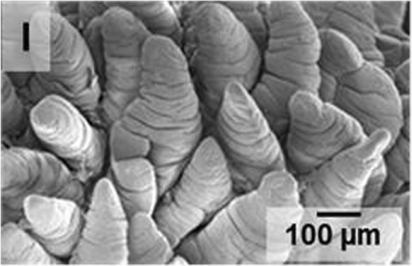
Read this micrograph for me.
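This is a surface view of the small intestinal lining covered by crowded villi. The villi are elongated, tongue- or finger-shaped projections that lean in roughly the same direction and overlap one another. Many taper toward narrow, rounded or pointed tips. Their surfaces are marked by regular transverse furrows that encircle the villi like rings. Individual epithelial cells are not resolved at this magnification; only the villous architecture is seen.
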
